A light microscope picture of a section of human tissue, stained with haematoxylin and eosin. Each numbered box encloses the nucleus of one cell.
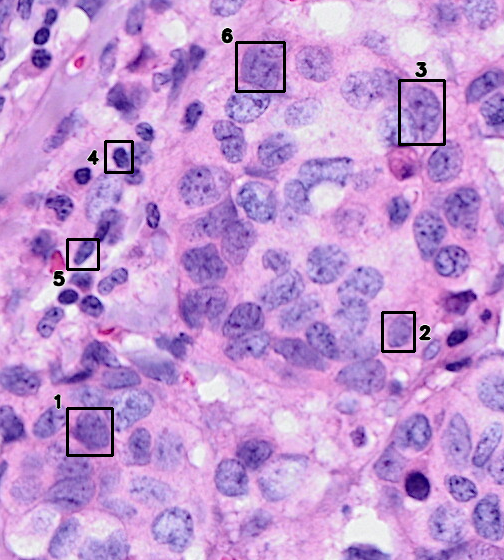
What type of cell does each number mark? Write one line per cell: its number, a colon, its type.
1: carcinoma cell
2: carcinoma cell
3: carcinoma cell
4: lymphocyte
5: lymphocyte
6: carcinoma cell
